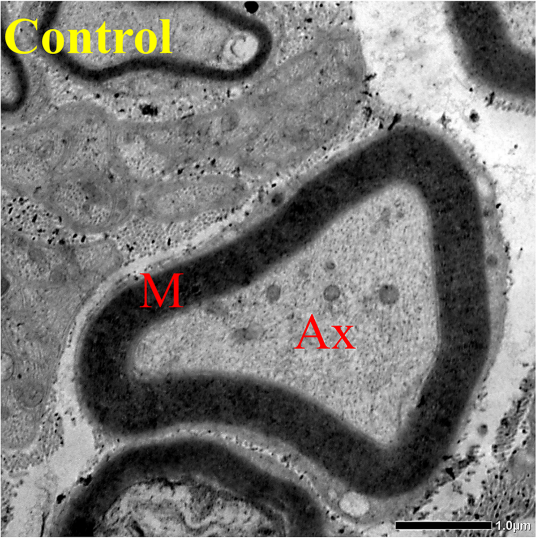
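A large myelinated nerve fibre of a peripheral nerve is shown in cross-section, with a pale, finely granular, roughly triangular axon enclosed by an even, uniformly dark and compact myelin sheath. The axoplasm contains a few small round profiles. No vacuoles or splitting are visible in the sheath. Parts of neighbouring myelinated fibres appear at the edges, and to the left lies a region of paler, greyer cytoplasm-like tissue, with a thin rim of cytoplasm outside the sheath and pale endoneurial space around.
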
